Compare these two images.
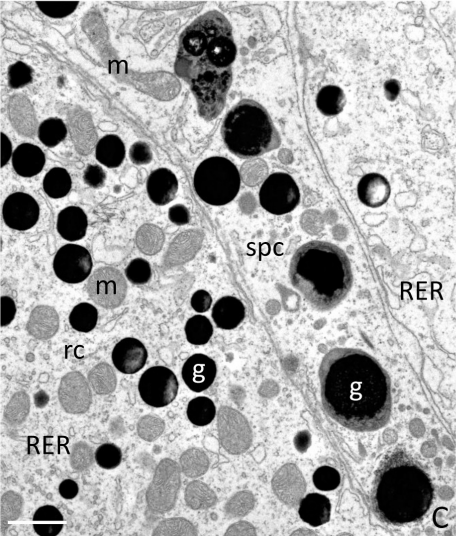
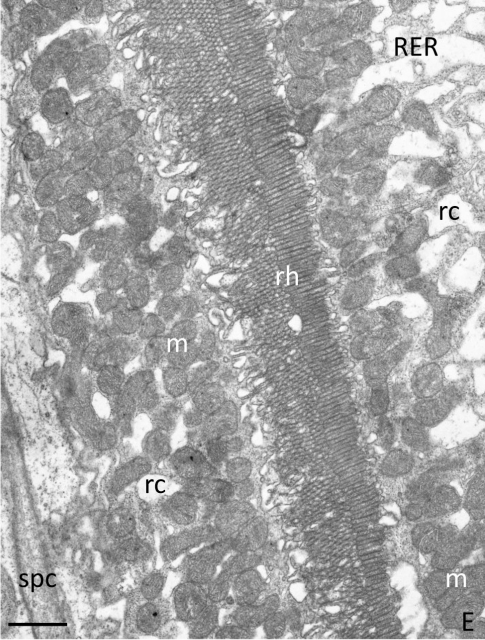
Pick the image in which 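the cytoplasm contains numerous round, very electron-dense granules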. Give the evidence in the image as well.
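Second image: the cytoplasm holds mitochondria and pale cisterns but no black round granules. First image: many round, solid black granules of varied size fill the cytoplasm.
Hence: the first image.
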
